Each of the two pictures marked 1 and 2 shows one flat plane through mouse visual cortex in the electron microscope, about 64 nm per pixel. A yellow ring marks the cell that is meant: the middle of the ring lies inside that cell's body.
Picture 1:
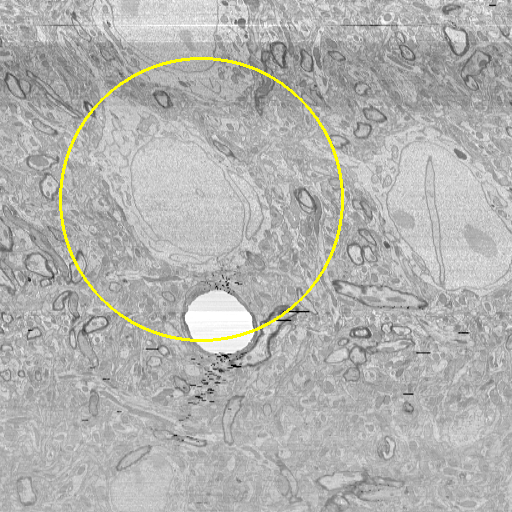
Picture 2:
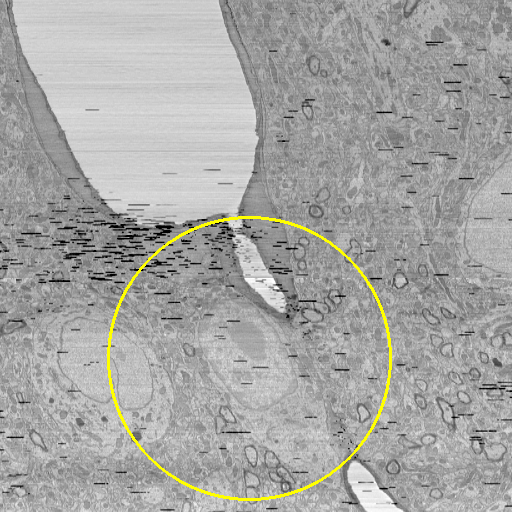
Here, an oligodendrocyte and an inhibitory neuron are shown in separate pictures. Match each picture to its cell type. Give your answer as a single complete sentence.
It is picture 1 that shows an inhibitory neuron, and picture 2 that shows an oligodendrocyte.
